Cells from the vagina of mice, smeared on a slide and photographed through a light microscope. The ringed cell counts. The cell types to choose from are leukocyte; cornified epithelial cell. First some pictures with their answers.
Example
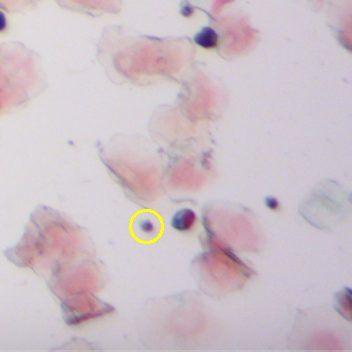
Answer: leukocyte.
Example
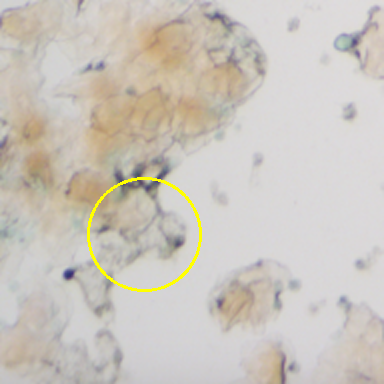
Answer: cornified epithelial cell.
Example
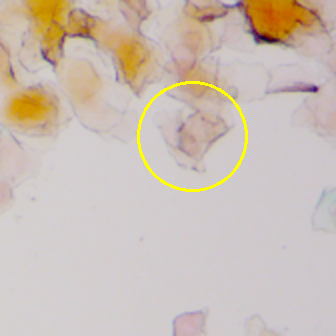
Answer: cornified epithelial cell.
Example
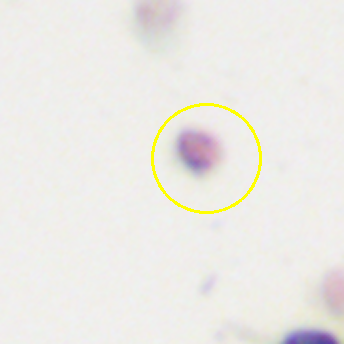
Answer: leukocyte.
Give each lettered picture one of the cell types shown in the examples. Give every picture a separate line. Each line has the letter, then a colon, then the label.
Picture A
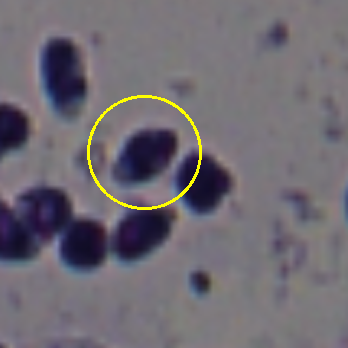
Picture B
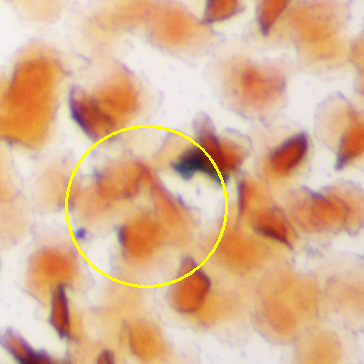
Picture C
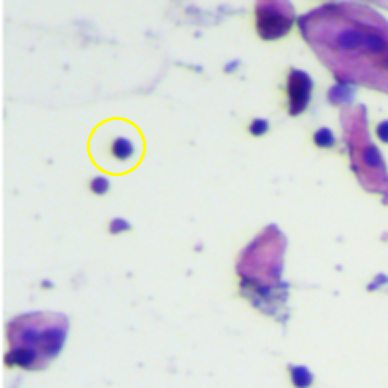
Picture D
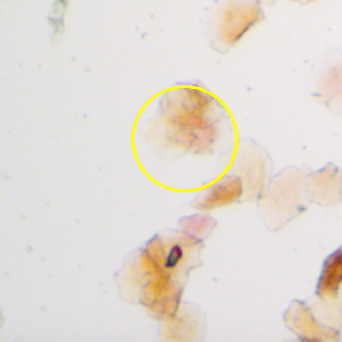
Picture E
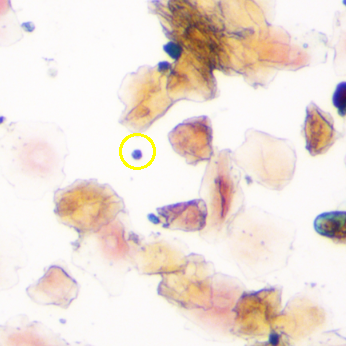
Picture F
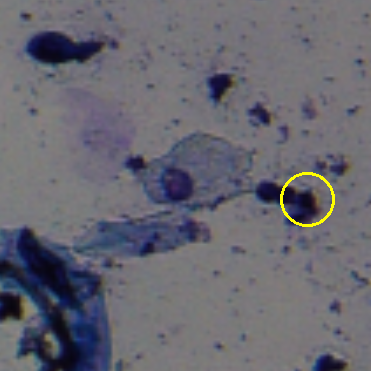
A: leukocyte.
B: cornified epithelial cell.
C: leukocyte.
D: cornified epithelial cell.
E: leukocyte.
F: leukocyte.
